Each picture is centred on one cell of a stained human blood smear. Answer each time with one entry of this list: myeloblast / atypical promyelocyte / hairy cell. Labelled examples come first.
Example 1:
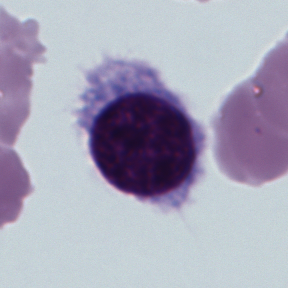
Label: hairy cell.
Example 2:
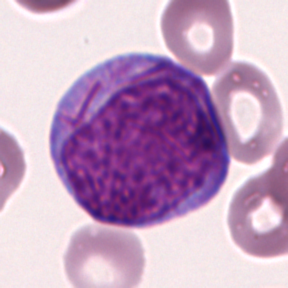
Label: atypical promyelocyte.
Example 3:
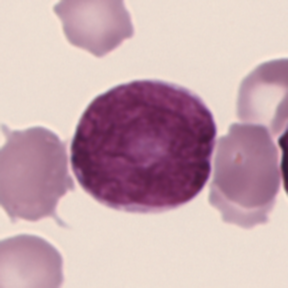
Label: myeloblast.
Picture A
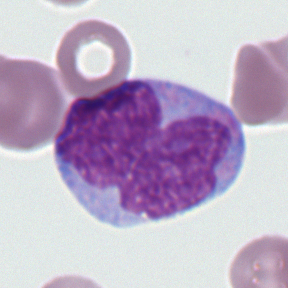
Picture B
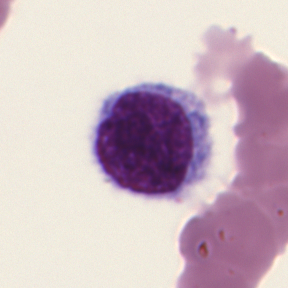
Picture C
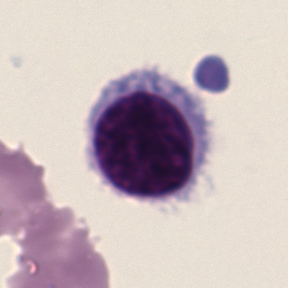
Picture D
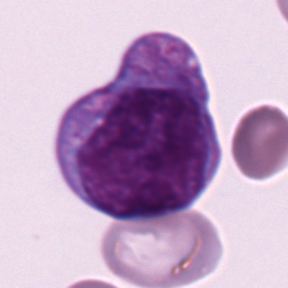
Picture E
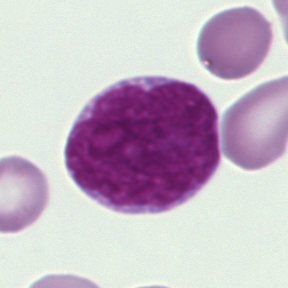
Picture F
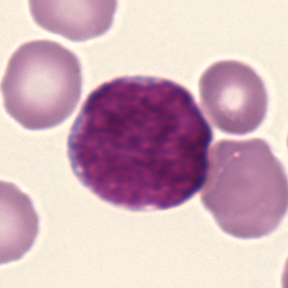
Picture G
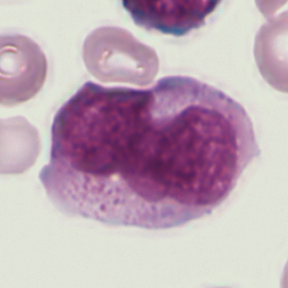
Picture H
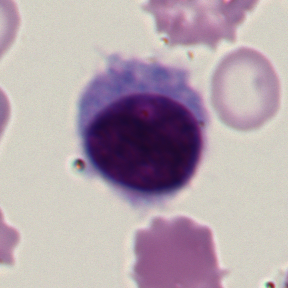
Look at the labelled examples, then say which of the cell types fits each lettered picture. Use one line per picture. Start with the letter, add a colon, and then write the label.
A: atypical promyelocyte.
B: hairy cell.
C: hairy cell.
D: atypical promyelocyte.
E: myeloblast.
F: myeloblast.
G: atypical promyelocyte.
H: hairy cell.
